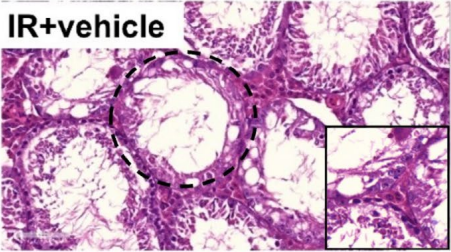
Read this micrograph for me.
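This section of testis shows seminiferous tubules whose germinal epithelium is much thinner than normal. The tubule outlined by the dashed line has only a thin rim of cells along its wall, and its centre is largely pale and empty, crossed by loose wisps and vacuolated material. Few layers of cells with round dark nuclei remain. The interstitial tissue between the tubules stands out more, with pink-staining cells filling the angular spaces, seen enlarged in the inset.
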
